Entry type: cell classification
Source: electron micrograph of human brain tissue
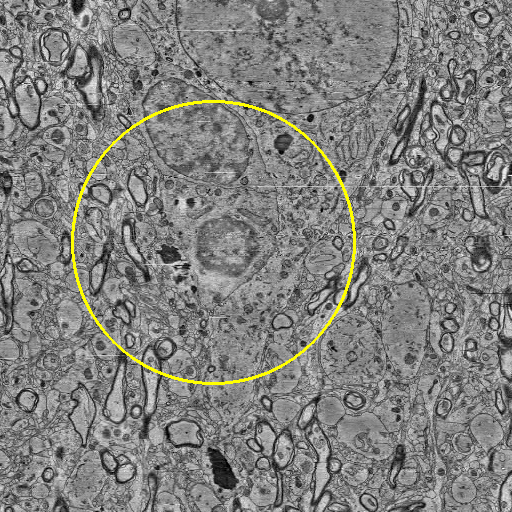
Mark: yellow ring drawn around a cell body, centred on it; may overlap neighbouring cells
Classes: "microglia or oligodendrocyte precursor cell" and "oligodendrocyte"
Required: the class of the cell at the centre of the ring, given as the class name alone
oligodendrocyte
